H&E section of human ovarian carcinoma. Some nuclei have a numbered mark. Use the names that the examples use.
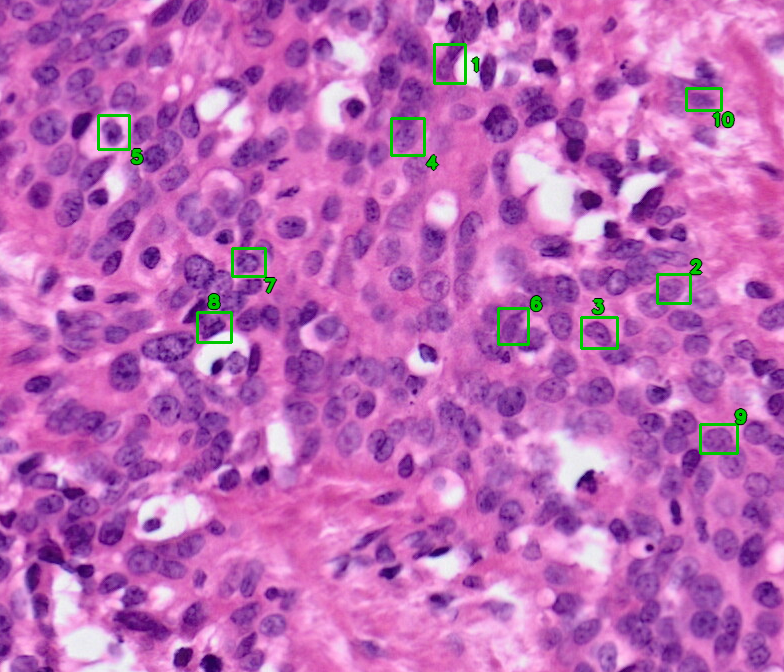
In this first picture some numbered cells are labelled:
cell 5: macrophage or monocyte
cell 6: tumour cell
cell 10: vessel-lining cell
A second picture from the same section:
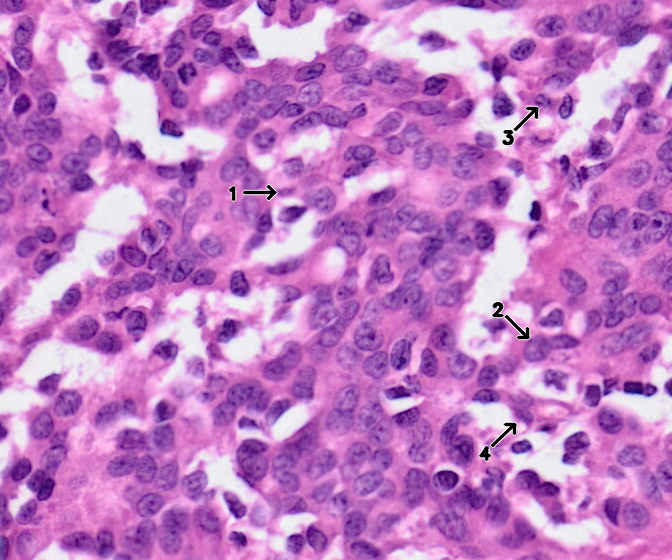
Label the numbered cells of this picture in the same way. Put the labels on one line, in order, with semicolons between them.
tumour cell; tumour cell; macrophage or monocyte; tumour cell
